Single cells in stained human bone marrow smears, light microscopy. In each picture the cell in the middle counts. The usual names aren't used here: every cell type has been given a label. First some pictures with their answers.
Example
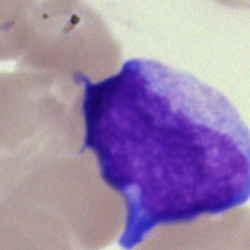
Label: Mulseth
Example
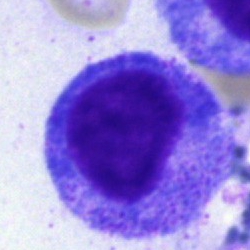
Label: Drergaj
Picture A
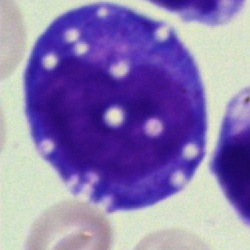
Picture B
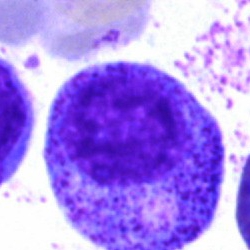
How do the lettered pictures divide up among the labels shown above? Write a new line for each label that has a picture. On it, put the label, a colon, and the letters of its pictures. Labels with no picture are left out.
Mulseth: A
Drergaj: B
